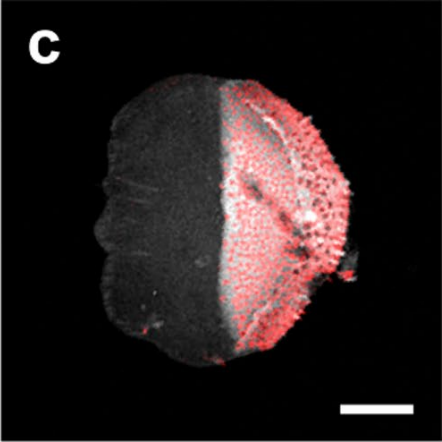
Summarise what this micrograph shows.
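The scale is a rounded plate divided into two halves by a straight boundary: one half is dim grey with faint radiating grooves and a scalloped edge, the other is bright, with a fine net-like texture and small spines along its margin. Numerous small red spots lie densely over the bright half, closely matching its outline, while the dim half carries almost no red. A darker streak crosses the bright half near its middle.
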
